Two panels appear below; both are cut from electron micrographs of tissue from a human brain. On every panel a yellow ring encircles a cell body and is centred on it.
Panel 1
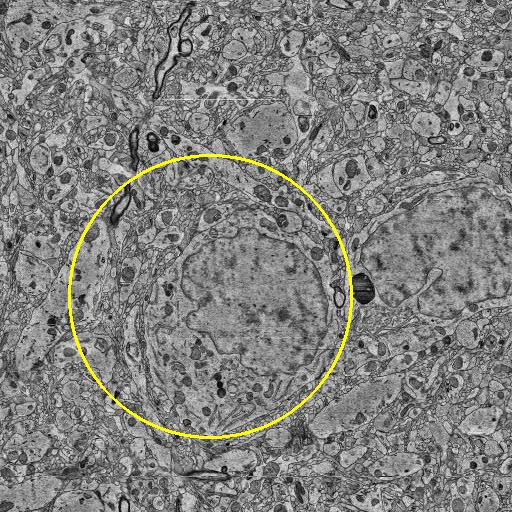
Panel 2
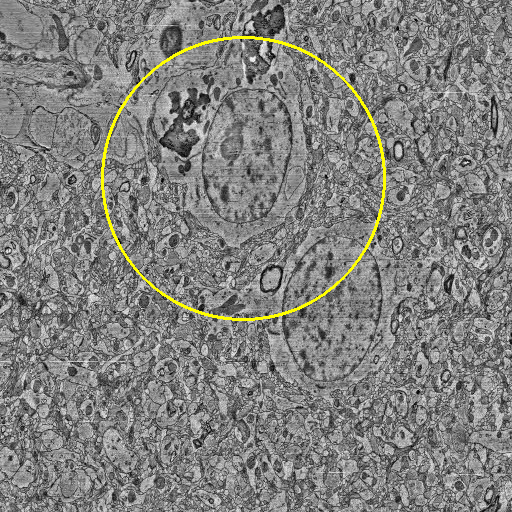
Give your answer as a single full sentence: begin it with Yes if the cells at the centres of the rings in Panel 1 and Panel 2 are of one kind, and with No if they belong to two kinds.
No, the cells in the middle of the rings in Panels 1 and 2 are of two kinds.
